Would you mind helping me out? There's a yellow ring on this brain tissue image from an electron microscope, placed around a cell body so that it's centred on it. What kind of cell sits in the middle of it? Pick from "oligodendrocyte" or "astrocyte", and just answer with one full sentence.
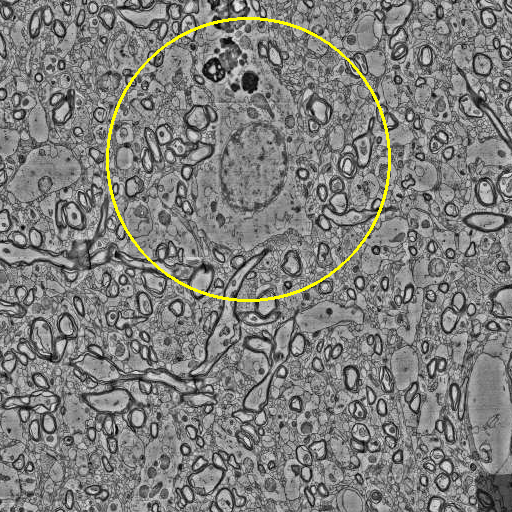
What sits in the middle of that yellow ring is an astrocyte, from your choices.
